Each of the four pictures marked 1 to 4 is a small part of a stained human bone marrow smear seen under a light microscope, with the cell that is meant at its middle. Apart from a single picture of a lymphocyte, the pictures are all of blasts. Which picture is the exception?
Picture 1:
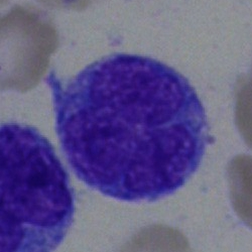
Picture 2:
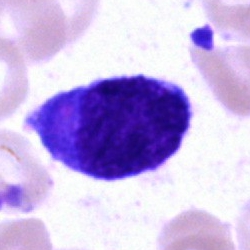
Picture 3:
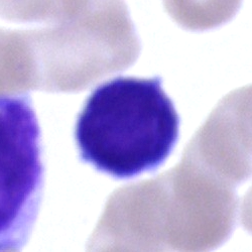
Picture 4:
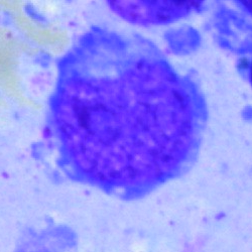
3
